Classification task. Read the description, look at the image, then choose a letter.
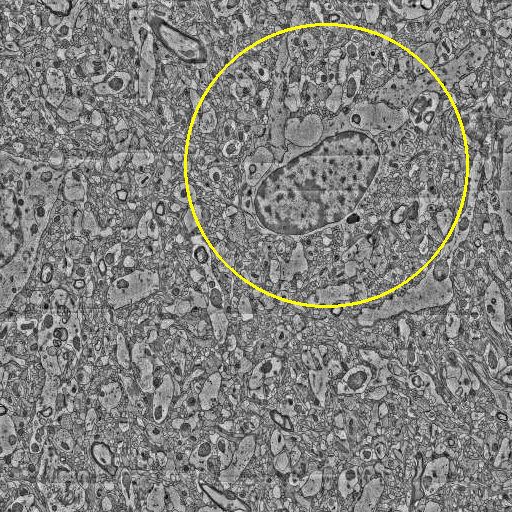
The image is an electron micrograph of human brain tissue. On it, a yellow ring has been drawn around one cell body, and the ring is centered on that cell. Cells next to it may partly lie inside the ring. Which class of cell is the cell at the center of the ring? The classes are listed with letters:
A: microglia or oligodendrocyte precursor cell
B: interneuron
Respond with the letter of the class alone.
A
